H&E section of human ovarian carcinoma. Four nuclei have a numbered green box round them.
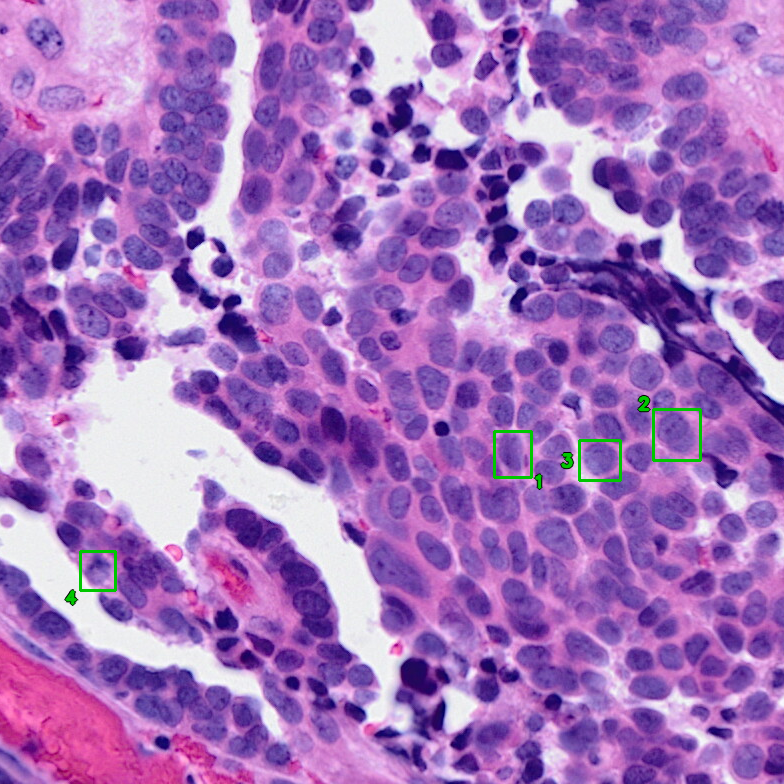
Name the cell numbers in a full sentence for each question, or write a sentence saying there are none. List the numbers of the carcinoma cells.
The cells numbered 1, 2 and 3 are typed as carcinoma cells.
